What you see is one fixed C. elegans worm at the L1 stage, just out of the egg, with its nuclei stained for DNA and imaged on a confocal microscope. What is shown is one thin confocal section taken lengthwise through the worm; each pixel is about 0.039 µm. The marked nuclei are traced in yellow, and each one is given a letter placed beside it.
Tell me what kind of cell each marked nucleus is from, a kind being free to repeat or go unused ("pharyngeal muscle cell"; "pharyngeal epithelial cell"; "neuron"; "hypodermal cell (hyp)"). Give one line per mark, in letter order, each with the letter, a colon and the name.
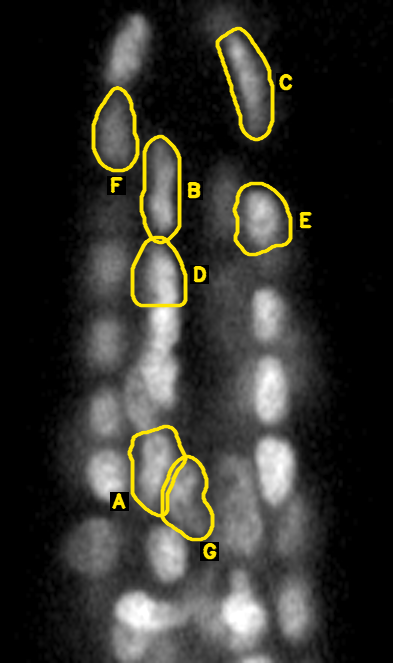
A: pharyngeal epithelial cell
B: pharyngeal epithelial cell
C: hypodermal cell (hyp)
D: pharyngeal muscle cell
E: hypodermal cell (hyp)
F: hypodermal cell (hyp)
G: pharyngeal muscle cell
